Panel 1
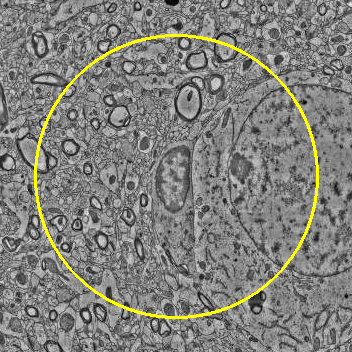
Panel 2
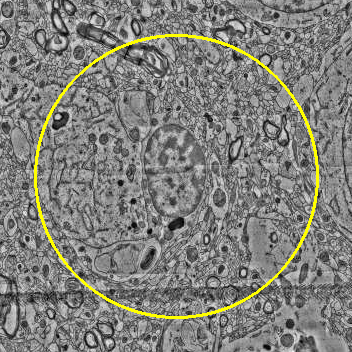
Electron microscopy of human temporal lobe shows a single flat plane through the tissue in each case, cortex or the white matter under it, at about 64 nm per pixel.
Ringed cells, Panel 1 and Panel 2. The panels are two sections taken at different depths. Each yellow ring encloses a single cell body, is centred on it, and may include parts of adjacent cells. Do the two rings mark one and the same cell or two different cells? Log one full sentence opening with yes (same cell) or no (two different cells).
No, two separate cells are outlined by these yellow rings.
